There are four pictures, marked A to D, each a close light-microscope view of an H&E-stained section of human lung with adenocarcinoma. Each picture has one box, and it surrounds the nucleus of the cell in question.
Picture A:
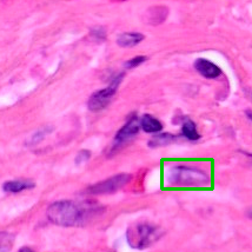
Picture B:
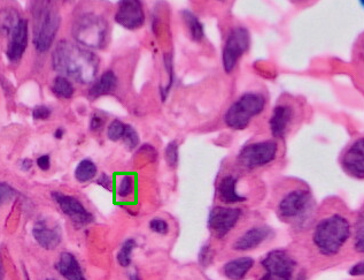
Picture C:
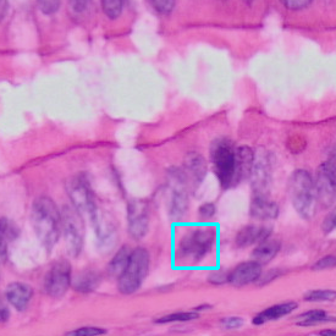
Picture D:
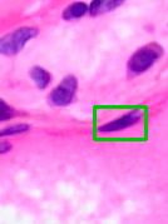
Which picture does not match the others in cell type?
C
